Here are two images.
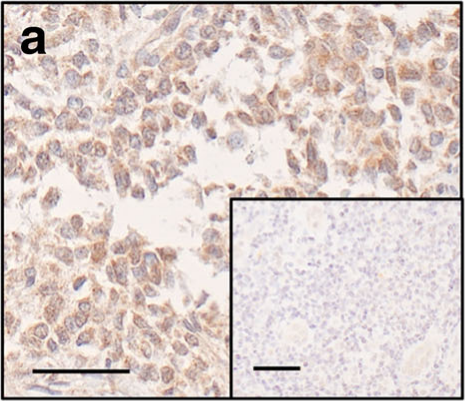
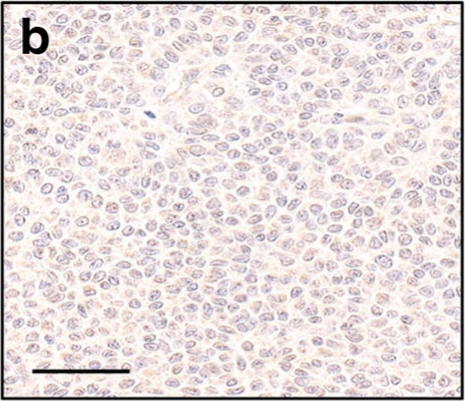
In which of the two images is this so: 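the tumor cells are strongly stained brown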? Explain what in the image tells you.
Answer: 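Second image: tumor cells show only faint pale brown tint with blue nuclei. On this evidence: the first image.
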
